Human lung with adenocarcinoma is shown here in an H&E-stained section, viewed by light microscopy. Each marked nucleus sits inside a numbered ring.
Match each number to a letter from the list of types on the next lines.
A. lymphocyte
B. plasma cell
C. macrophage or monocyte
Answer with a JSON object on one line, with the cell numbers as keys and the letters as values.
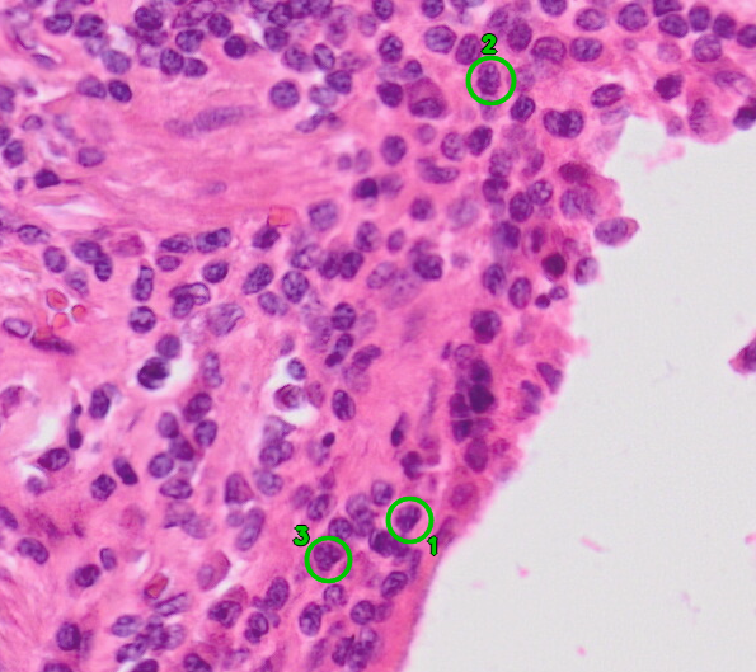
{"1": "A", "2": "A", "3": "B"}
